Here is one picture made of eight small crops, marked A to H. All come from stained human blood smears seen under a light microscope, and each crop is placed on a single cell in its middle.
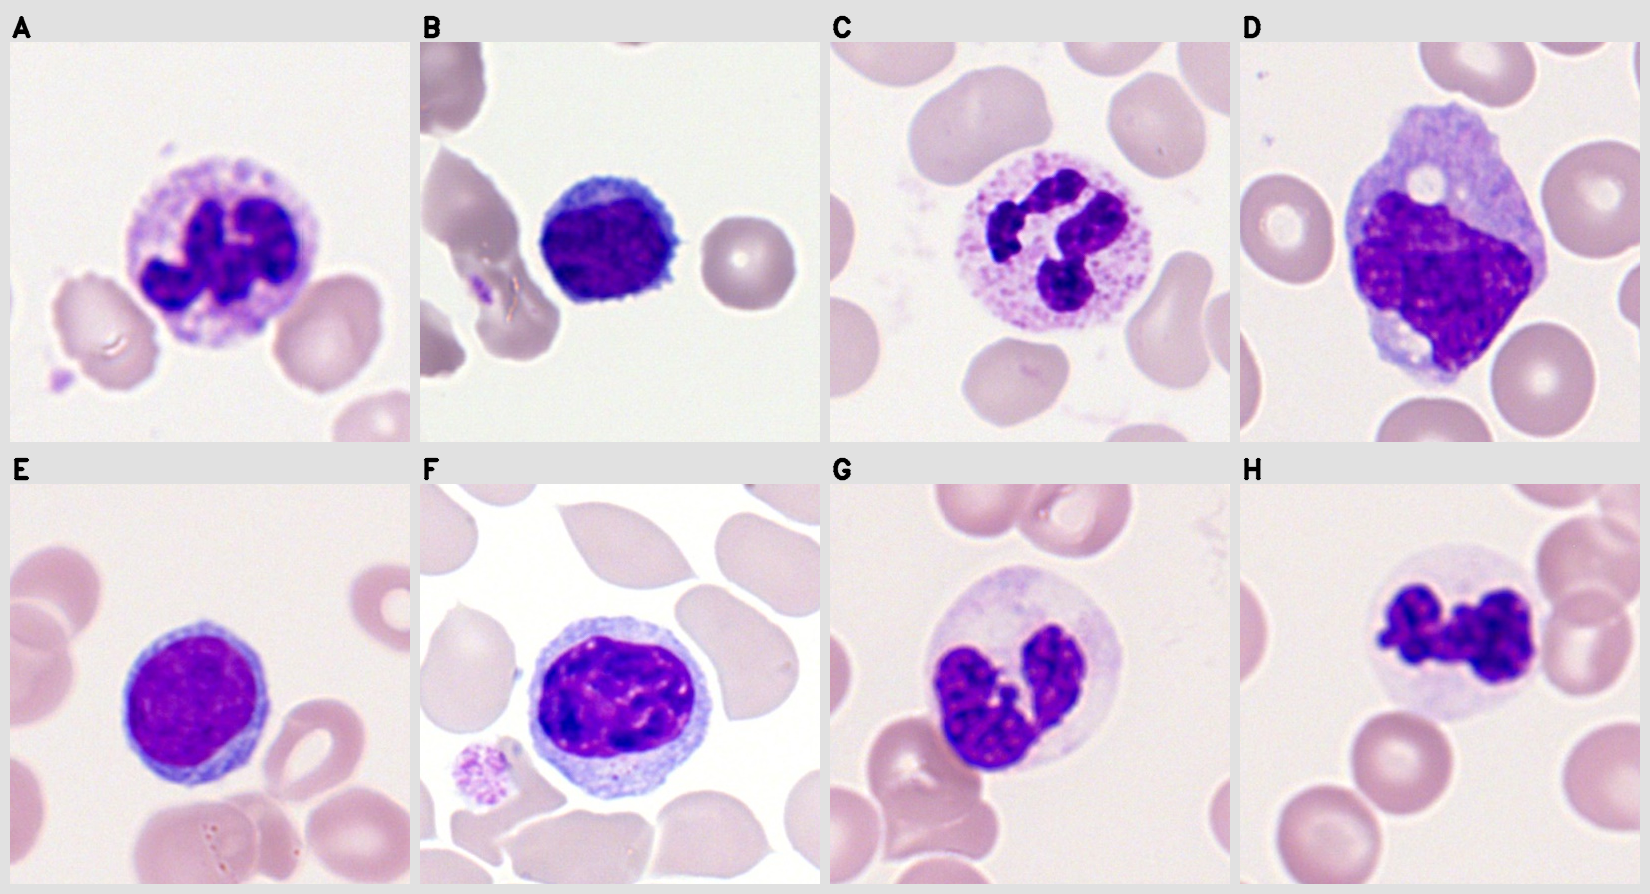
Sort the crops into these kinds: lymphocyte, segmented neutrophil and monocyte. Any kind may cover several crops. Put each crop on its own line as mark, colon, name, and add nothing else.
A: segmented neutrophil
B: lymphocyte
C: segmented neutrophil
D: monocyte
E: lymphocyte
F: lymphocyte
G: segmented neutrophil
H: segmented neutrophil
